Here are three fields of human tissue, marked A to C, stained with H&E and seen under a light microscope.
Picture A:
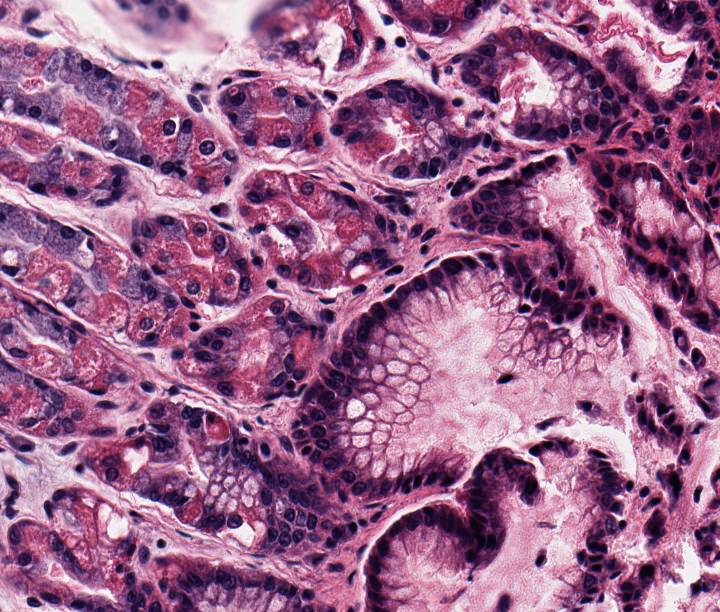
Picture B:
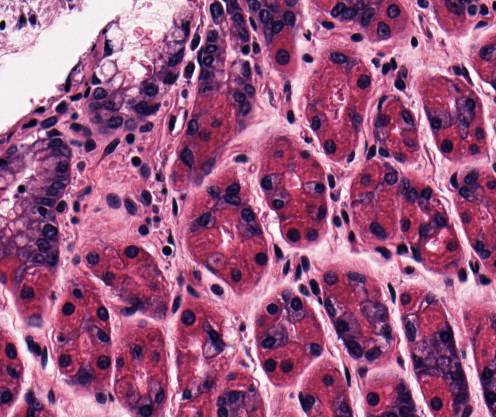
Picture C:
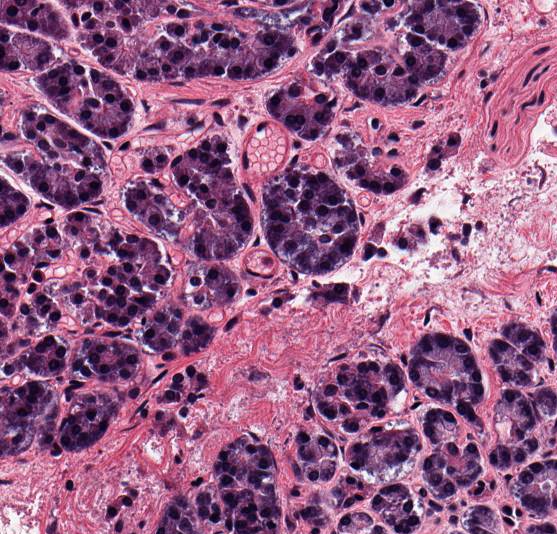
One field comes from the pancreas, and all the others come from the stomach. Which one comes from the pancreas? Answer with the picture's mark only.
C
